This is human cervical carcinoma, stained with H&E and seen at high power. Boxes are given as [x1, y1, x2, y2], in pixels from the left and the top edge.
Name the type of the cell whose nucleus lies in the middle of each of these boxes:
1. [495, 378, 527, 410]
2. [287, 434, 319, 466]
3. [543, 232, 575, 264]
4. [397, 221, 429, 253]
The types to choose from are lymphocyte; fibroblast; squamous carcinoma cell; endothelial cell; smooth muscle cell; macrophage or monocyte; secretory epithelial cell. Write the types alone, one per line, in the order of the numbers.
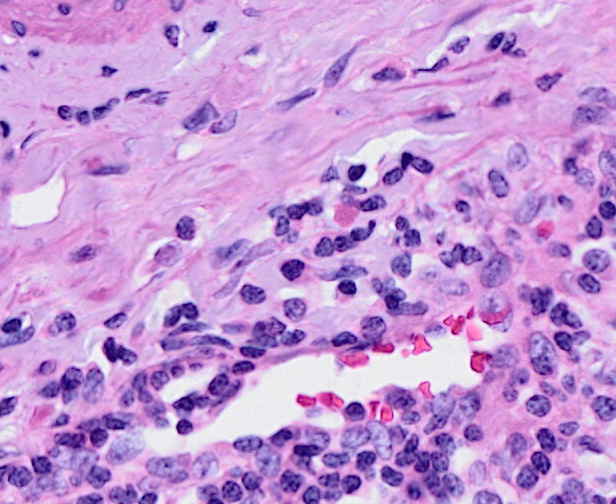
endothelial cell
lymphocyte
endothelial cell
lymphocyte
